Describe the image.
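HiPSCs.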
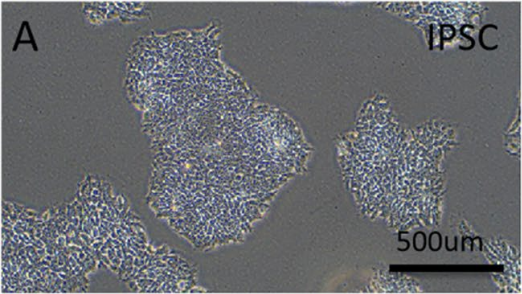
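Colonies of stem cells growing flat on the dish, seen by phase contrast. Several irregular, sharply bounded colonies are separated by empty substrate. Cell borders appear as fine bright lines, giving a cobblestone texture across the colony. The colony edges are distinct and somewhat lobed, with no cells spreading singly outward.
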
